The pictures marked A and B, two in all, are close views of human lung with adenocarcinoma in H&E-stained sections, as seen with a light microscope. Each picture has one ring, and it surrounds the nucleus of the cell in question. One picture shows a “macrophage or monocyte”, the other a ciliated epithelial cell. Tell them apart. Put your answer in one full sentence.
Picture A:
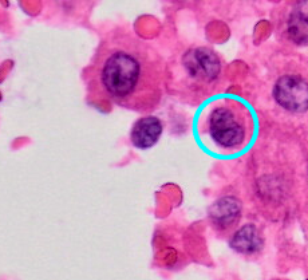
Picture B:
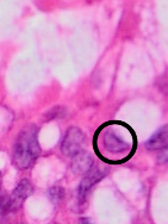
Picture B shows a ciliated epithelial cell, while picture A shows a “macrophage or monocyte”.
